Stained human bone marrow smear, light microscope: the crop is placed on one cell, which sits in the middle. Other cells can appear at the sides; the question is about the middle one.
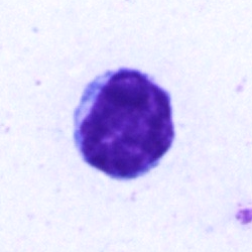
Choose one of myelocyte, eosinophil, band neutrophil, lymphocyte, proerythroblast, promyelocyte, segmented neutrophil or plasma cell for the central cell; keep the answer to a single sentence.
At the crop's centre, the cell is a lymphocyte.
